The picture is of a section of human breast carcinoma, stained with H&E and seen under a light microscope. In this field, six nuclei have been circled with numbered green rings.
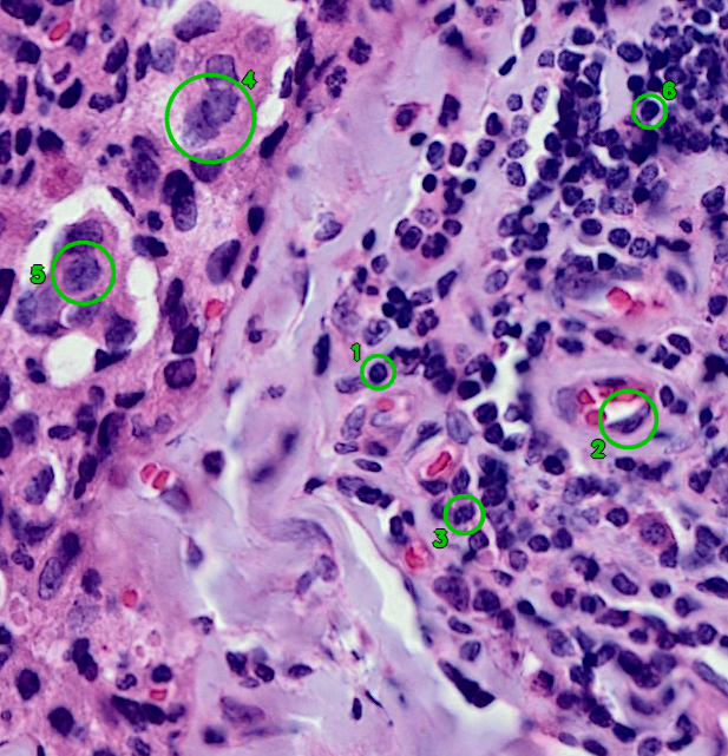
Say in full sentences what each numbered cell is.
Cells 1, 3 and 6 are lymphocytes. Cell 2 is an endothelial cell. Cells 4 and 5 are carcinoma cells.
